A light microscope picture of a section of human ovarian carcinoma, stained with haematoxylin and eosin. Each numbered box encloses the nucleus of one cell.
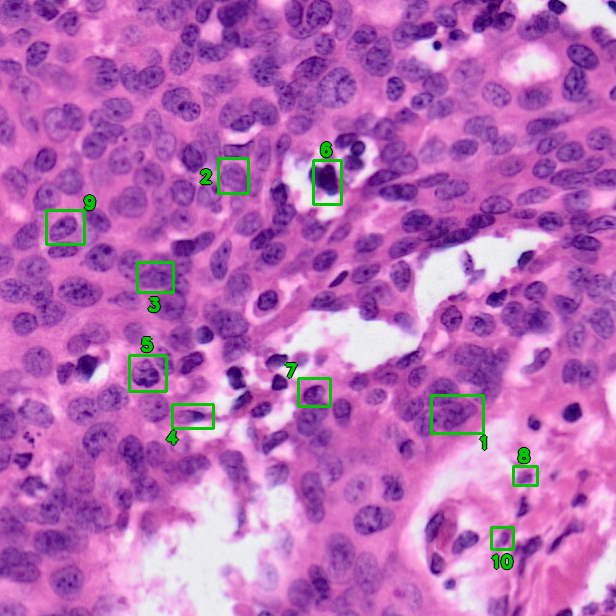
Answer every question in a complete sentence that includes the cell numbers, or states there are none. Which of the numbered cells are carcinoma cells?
The cells numbered 1, 2, 3 and 6 are typed as carcinoma cells.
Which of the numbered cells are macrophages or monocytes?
The cells that have numbers 4, 5, 7 and 9 are macrophages or monocytes.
